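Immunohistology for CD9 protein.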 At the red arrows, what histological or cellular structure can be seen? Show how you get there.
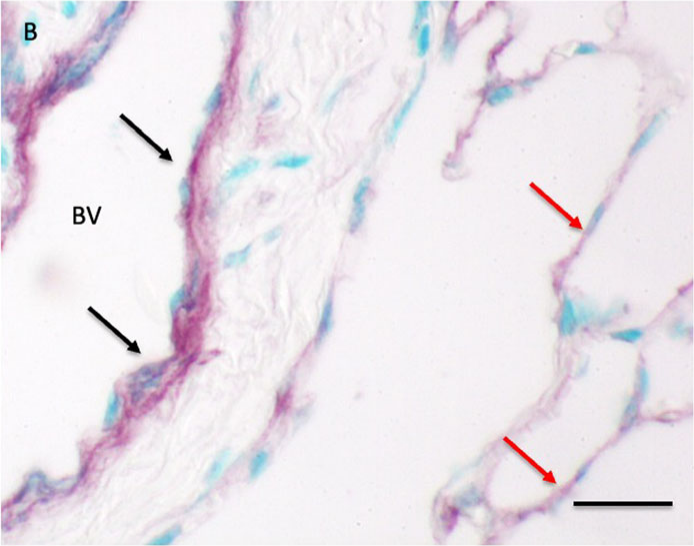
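The arrows point to thin walls bordering open air spaces. The walls carry a faint purple rim and scattered blue-green nuclei. That points to this answer: alveolar septa.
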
